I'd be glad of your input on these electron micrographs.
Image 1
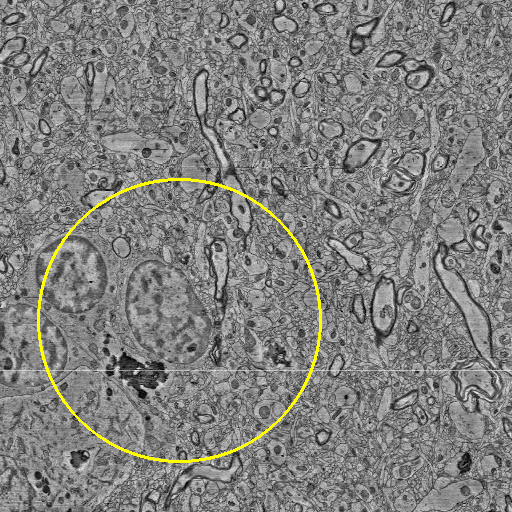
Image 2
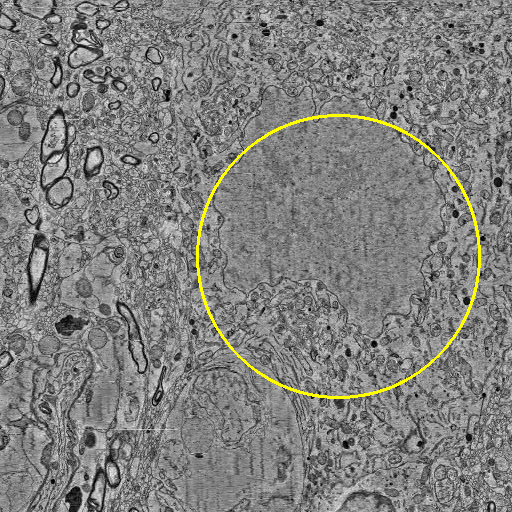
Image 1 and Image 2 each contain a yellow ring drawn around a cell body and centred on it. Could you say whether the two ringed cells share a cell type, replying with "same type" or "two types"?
two types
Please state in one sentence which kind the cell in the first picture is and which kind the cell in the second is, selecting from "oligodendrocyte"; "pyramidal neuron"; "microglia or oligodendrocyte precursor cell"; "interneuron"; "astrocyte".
The first ringed cell is an oligodendrocyte, the second ringed cell a pyramidal neuron.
